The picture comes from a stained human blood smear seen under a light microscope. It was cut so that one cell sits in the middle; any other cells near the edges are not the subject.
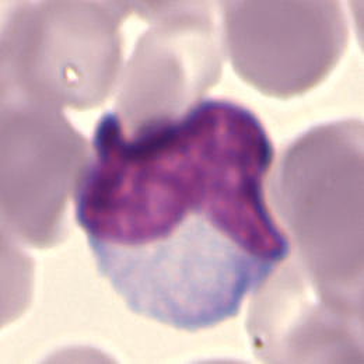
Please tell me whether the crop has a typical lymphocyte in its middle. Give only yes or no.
yes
